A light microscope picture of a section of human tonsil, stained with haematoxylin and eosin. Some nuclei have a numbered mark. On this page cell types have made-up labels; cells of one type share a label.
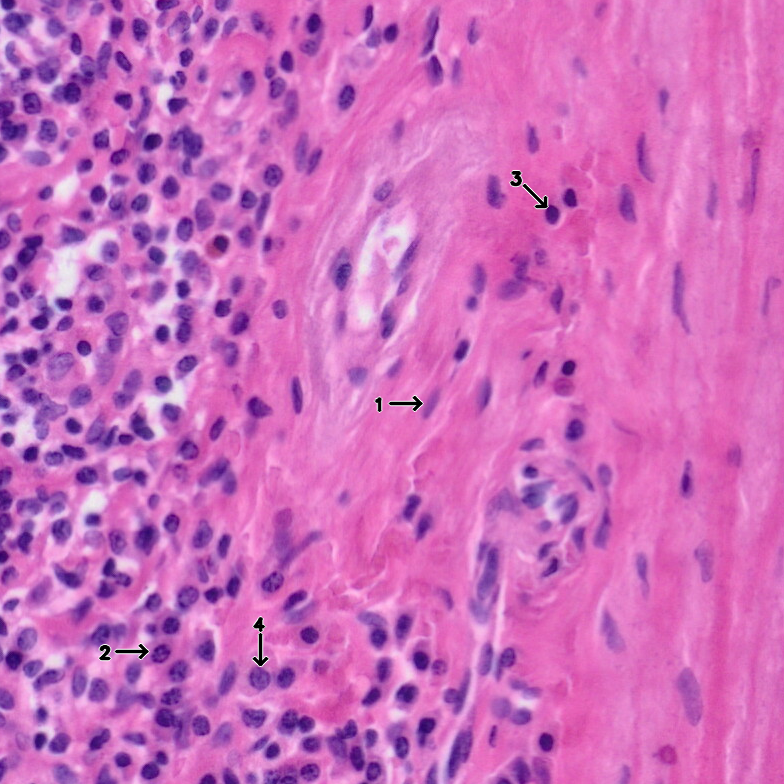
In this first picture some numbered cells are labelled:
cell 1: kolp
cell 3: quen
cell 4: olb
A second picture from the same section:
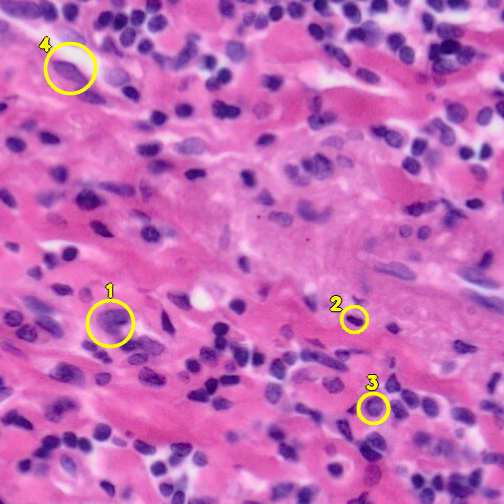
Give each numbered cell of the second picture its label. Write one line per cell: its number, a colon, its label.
1: kolp
2: quen
3: olb
4: kolp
